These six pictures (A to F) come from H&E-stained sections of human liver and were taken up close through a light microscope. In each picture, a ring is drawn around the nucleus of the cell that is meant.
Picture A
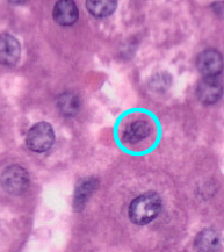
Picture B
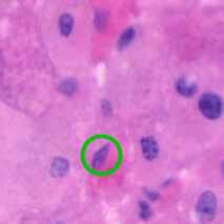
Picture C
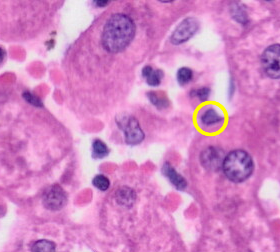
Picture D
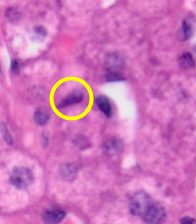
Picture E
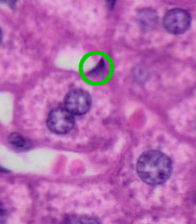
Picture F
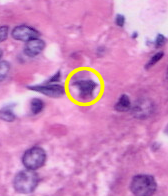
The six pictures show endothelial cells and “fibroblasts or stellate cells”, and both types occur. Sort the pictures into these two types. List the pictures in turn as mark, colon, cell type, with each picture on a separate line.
A: fibroblast or stellate cell
B: endothelial cell
C: fibroblast or stellate cell
D: fibroblast or stellate cell
E: endothelial cell
F: fibroblast or stellate cell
